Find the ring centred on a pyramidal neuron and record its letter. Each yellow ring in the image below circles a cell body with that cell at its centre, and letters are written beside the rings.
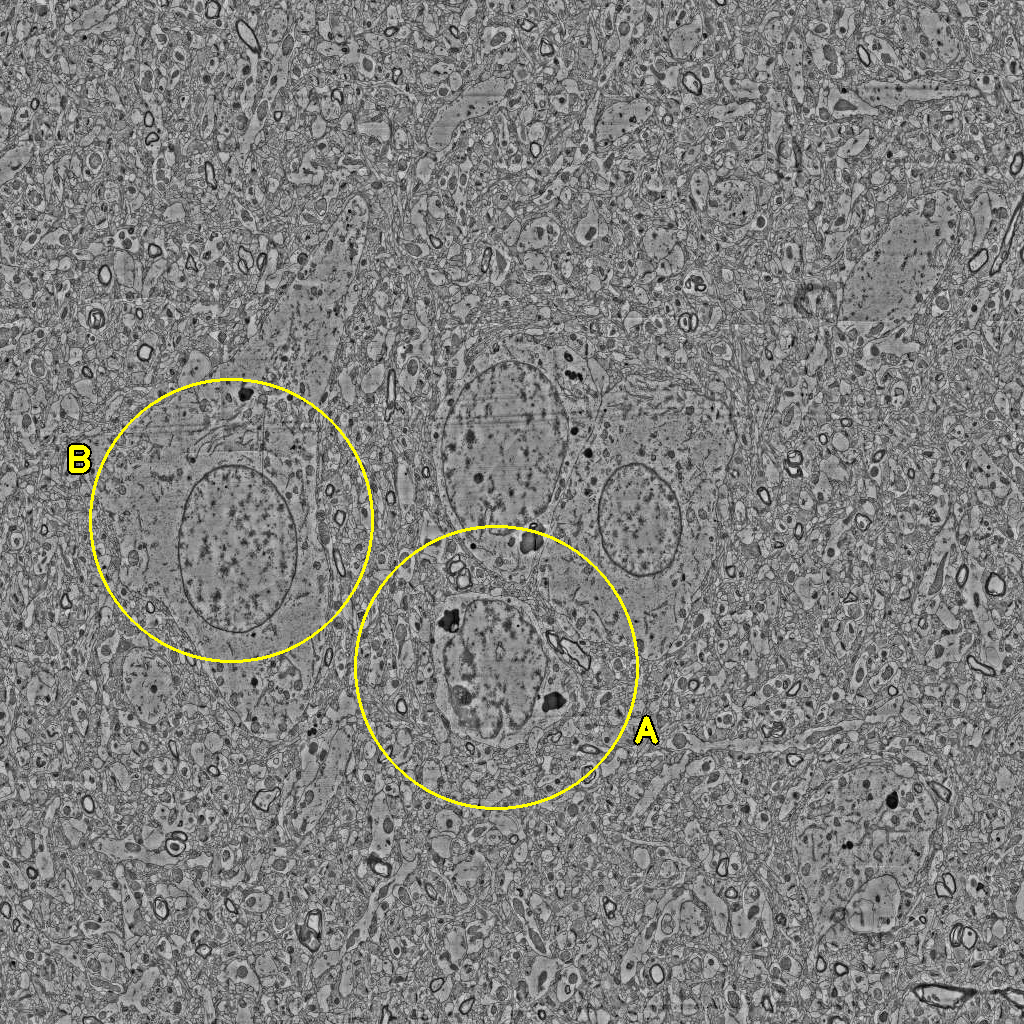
B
